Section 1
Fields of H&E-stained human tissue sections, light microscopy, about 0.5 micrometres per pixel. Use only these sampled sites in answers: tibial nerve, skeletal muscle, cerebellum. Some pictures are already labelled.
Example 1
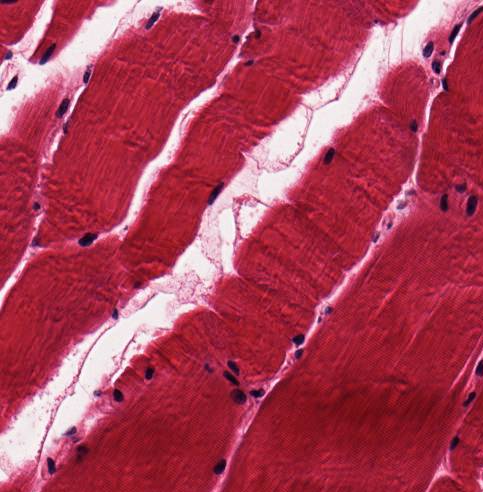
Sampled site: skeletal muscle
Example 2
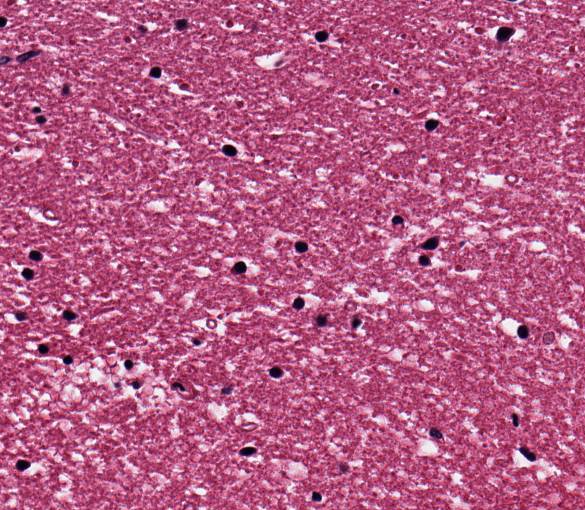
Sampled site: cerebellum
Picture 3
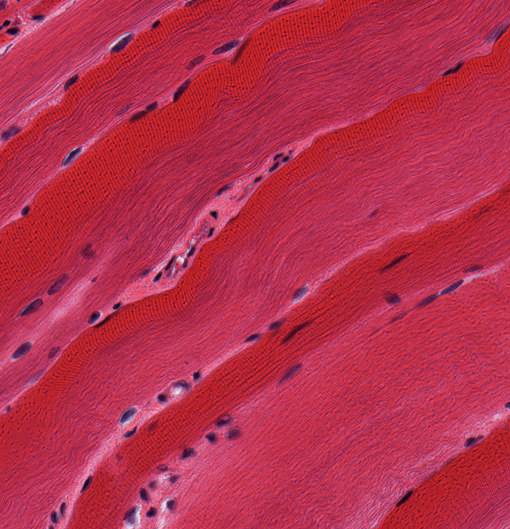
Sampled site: skeletal muscle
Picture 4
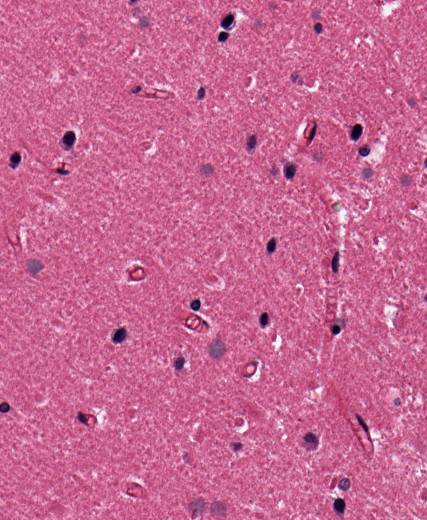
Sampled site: cerebellum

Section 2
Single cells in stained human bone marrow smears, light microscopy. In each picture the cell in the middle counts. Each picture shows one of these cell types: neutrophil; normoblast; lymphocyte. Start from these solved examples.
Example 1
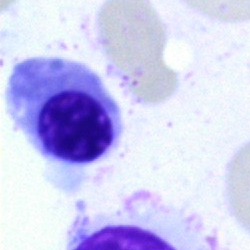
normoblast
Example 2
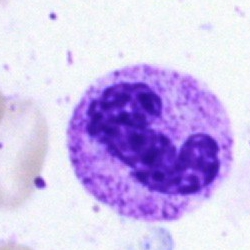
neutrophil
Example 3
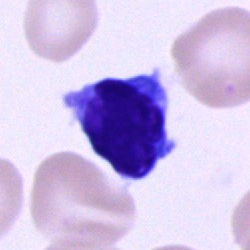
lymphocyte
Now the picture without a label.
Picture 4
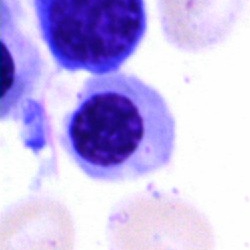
normoblast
